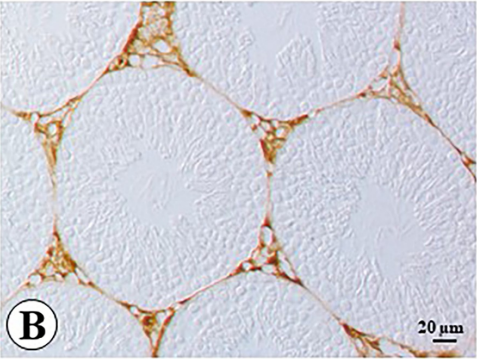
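This is testis in cross-section, showing closely packed round tubules filled with unstained cells around a small central lumen. Where three or more tubules meet, the triangular interstitial spaces are filled with groups of cells stained a deep brown, some appearing as rounded cells with pale centres. The stain is restricted to these interstitial groups and to thin lines along the tubule borders, while the tubule interiors remain unstained. The brown-stained cells between the tubules are the endocrine Leydig cells.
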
